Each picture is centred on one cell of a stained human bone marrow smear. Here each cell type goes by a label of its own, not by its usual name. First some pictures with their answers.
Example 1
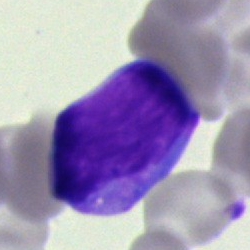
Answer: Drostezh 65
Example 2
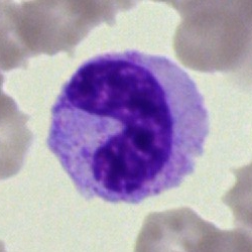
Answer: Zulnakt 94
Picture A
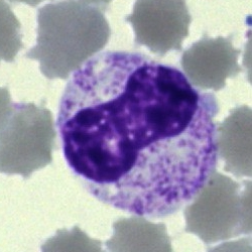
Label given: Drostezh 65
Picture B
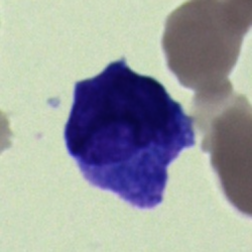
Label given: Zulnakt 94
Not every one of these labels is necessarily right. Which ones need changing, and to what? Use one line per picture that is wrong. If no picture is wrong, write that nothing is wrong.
A: not Drostezh 65 but Zulnakt 94
B: not Zulnakt 94 but Drostezh 65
